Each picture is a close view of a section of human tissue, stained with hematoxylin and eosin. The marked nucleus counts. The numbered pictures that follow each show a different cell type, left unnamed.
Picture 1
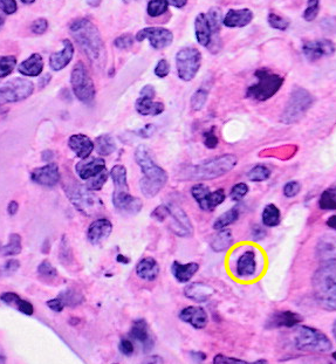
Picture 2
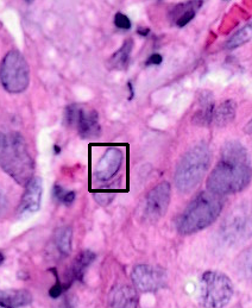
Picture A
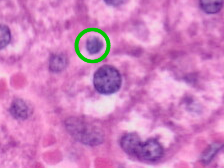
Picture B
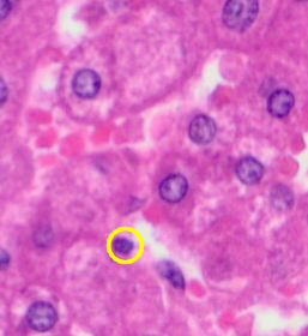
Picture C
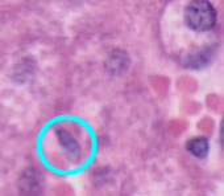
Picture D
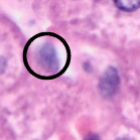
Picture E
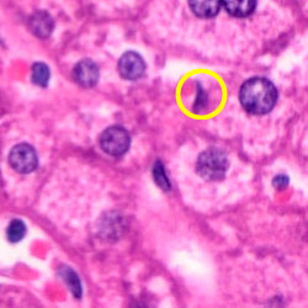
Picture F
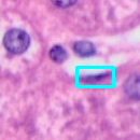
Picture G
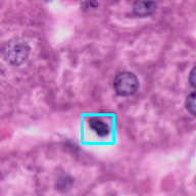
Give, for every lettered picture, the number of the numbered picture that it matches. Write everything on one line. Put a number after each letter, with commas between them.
A 1, B 1, C 2, D 2, E 2, F 2, G 1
